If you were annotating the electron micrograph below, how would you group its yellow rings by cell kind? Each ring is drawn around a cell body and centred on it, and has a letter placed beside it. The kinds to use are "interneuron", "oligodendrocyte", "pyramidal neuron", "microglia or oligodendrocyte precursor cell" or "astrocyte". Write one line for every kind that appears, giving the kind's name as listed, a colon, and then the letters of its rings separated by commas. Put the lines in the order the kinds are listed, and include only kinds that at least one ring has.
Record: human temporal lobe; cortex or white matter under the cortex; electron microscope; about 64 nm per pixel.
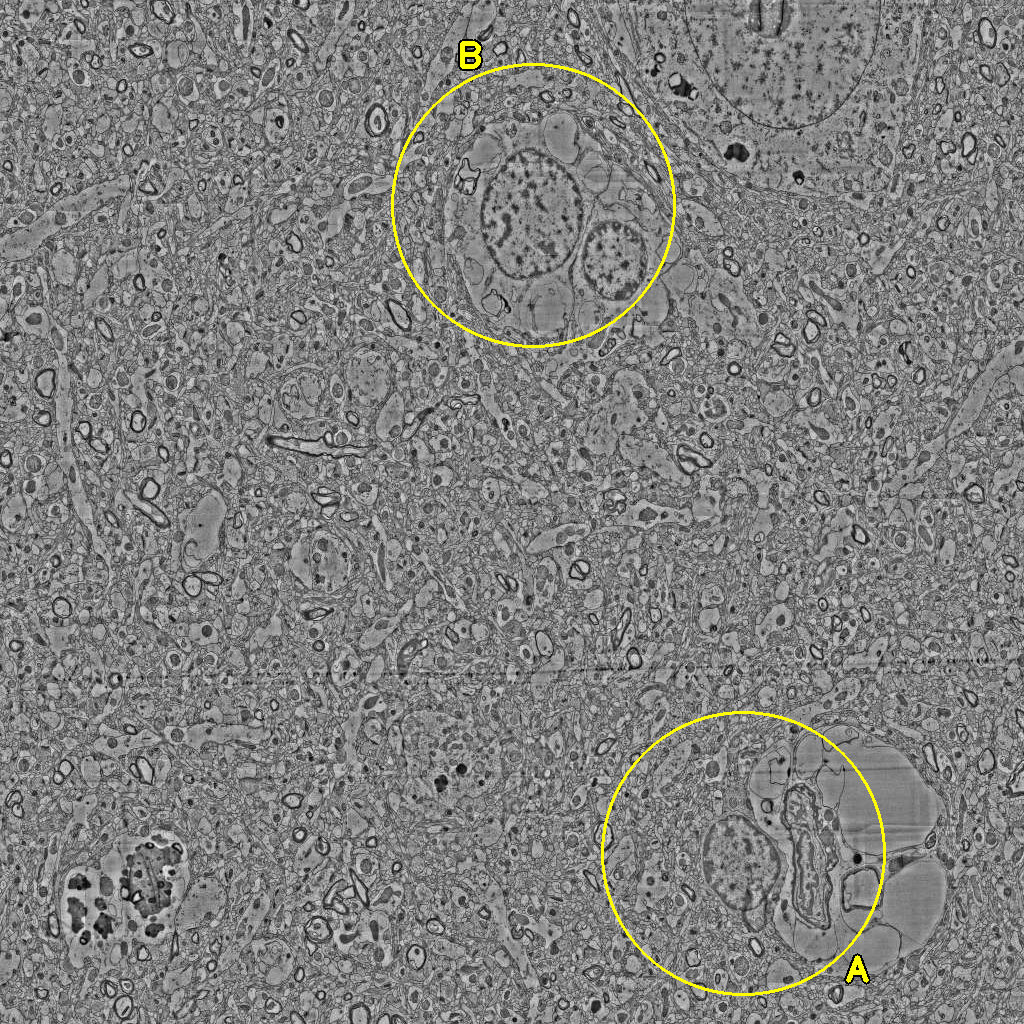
oligodendrocyte: A
astrocyte: B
